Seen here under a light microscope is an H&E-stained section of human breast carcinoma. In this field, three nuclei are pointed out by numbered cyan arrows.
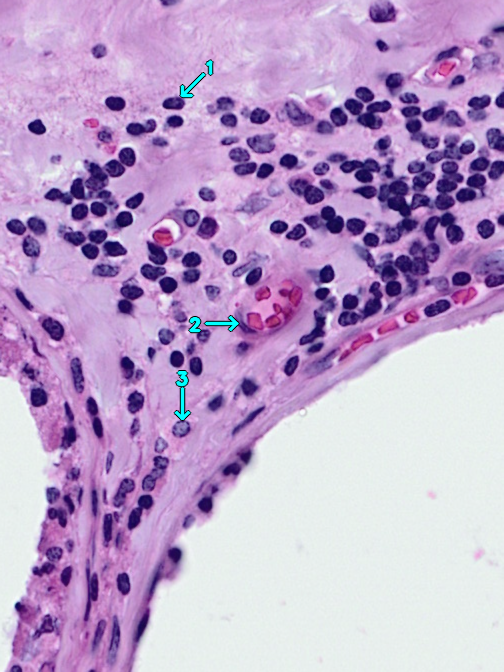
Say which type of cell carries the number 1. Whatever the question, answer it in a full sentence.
The cell pointed out by number 1 is a lymphocyte.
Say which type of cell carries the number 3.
Denoted by the label 3 in the section is a mast cell.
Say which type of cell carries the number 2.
Belonging to an endothelial cell is the nucleus that carries the number 2.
